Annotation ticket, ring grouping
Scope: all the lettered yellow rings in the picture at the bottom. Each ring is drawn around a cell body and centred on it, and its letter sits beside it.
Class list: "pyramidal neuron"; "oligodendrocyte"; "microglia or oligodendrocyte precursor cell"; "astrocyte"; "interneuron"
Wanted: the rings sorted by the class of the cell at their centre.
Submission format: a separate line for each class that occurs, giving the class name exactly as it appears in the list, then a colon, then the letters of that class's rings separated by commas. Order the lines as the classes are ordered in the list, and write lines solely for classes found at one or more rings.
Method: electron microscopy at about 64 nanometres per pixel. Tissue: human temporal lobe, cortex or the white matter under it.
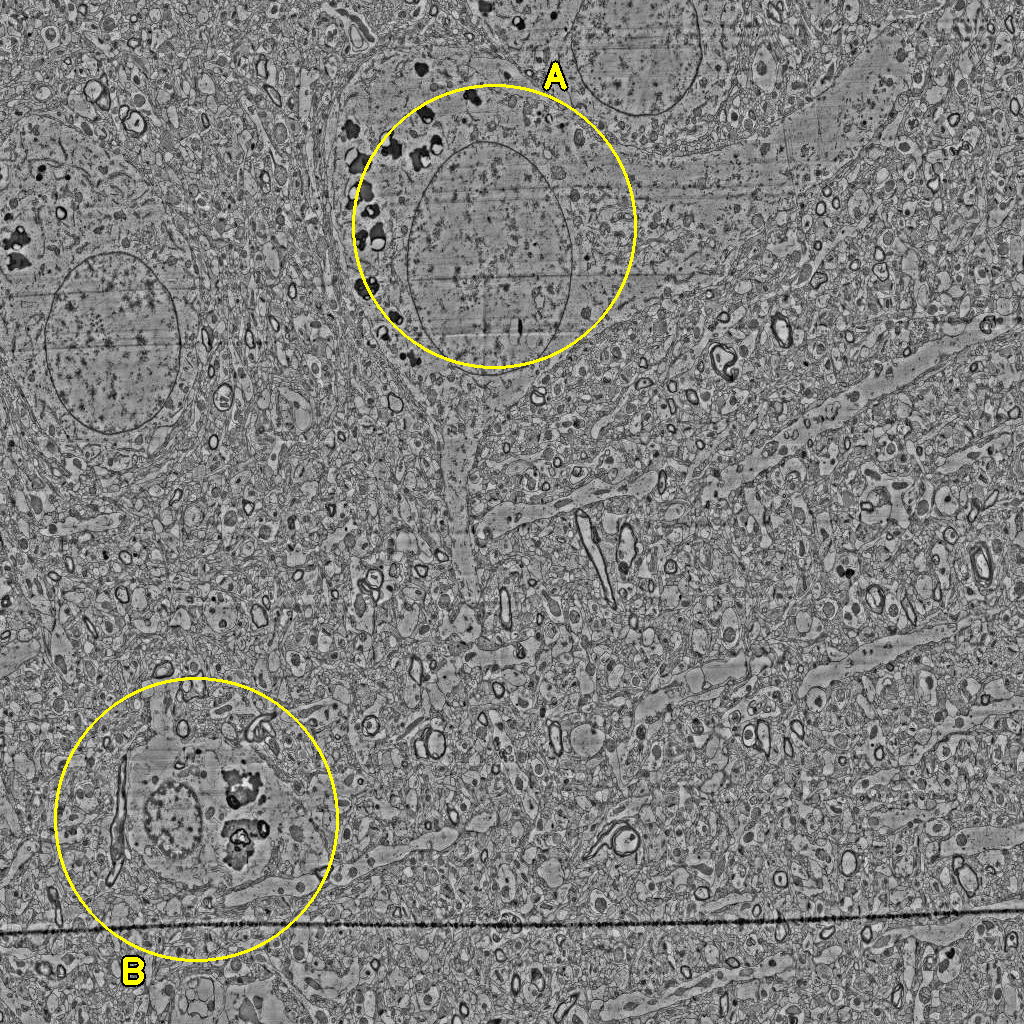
pyramidal neuron: A
astrocyte: B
